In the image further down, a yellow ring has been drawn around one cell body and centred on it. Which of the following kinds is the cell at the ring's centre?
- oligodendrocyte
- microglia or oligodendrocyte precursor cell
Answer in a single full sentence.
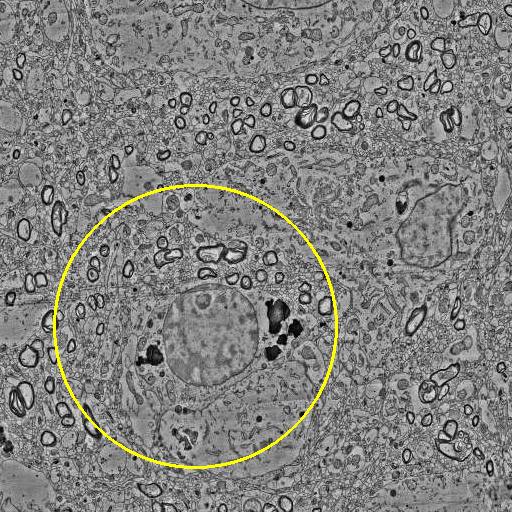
In the picture, the cell sitting at the centre of the yellow ring is an oligodendrocyte.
